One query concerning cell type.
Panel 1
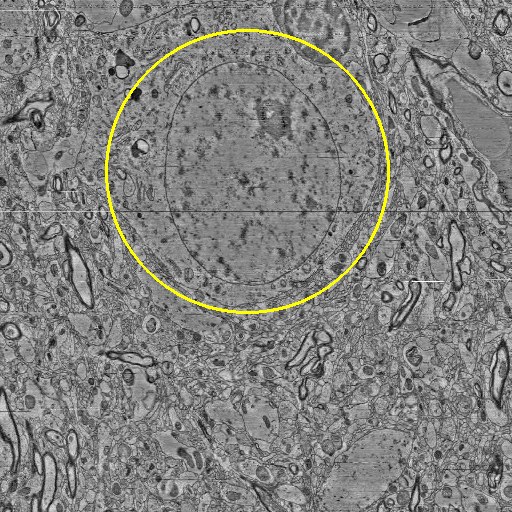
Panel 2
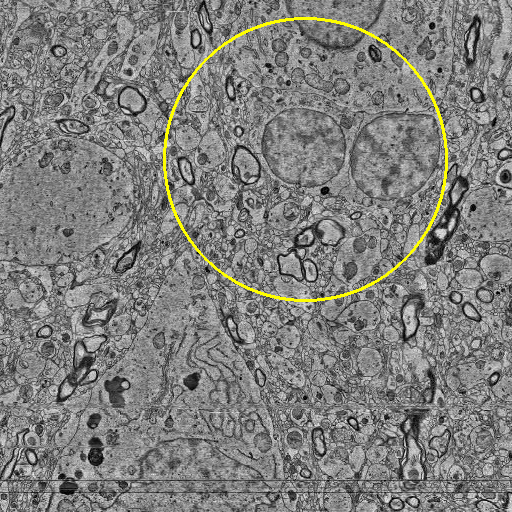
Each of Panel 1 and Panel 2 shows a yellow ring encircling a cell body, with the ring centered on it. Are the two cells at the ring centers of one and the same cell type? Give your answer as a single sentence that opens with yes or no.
No, the cell centered in Panel 1 and the one in Panel 2 are of two types.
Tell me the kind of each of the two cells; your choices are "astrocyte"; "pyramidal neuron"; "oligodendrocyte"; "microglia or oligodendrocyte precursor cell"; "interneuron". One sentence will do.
The ringed cell is a pyramidal neuron in the first picture and an oligodendrocyte in the second picture.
